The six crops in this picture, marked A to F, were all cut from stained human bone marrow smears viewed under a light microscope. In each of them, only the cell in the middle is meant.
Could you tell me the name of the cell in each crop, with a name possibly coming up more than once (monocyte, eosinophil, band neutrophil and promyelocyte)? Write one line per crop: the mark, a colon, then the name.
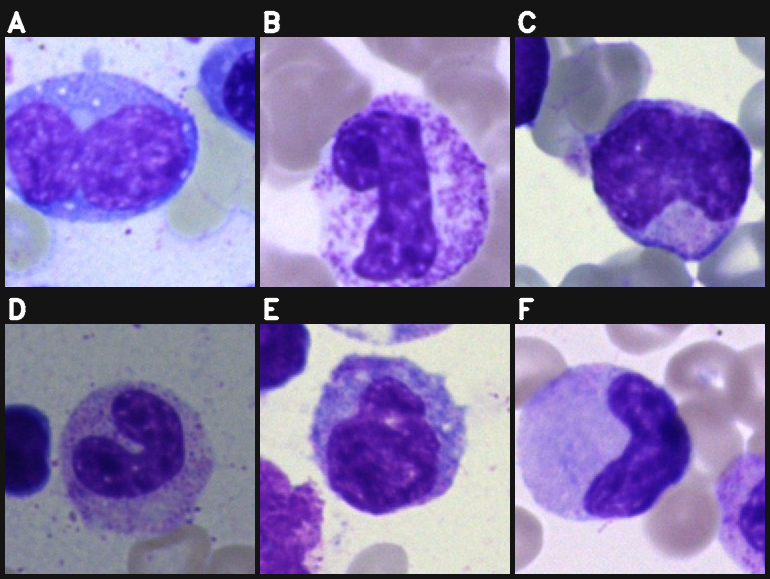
A: monocyte
B: band neutrophil
C: monocyte
D: band neutrophil
E: monocyte
F: band neutrophil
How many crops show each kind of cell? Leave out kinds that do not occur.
monocyte: 3
band neutrophil: 3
